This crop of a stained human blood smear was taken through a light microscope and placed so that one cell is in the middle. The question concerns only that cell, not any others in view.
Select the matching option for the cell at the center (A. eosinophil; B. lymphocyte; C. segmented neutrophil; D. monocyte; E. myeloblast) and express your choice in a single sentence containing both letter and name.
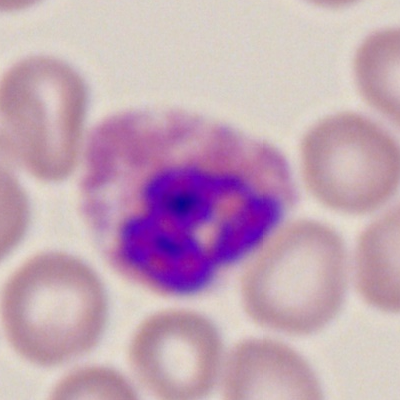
That cell in the center is an eosinophil, hence option A.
